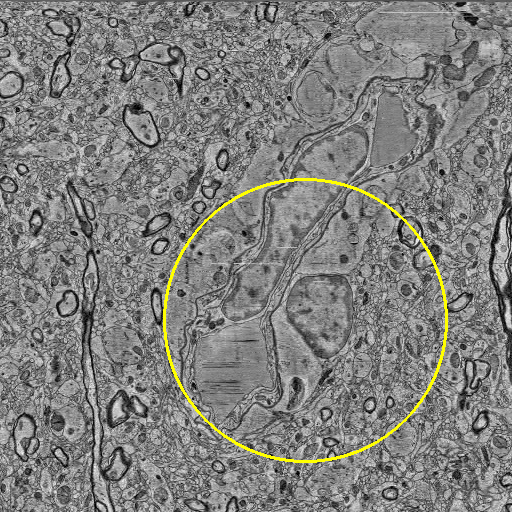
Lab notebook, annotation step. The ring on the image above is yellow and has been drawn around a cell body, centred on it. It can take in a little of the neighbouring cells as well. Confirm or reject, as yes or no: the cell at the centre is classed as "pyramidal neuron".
No, the cell is of another class.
